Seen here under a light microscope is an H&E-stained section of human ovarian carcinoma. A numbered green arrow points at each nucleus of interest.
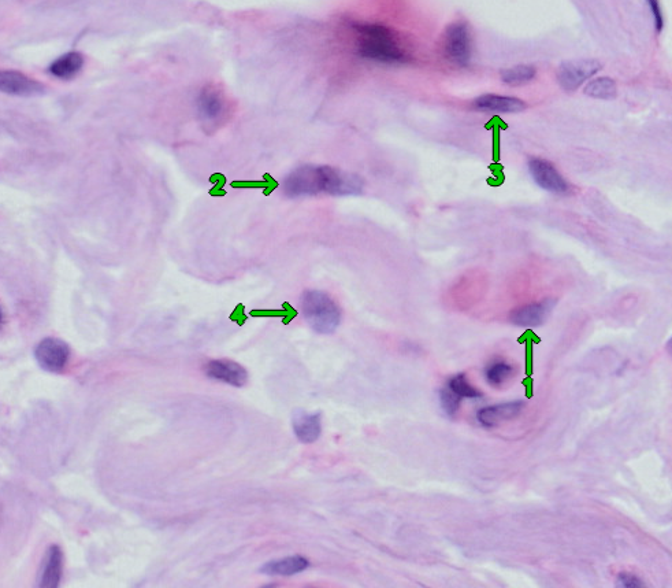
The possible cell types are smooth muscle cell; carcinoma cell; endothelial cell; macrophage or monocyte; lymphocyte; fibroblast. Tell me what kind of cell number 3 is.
endothelial cell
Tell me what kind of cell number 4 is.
fibroblast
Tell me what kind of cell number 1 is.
smooth muscle cell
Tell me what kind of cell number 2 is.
fibroblast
